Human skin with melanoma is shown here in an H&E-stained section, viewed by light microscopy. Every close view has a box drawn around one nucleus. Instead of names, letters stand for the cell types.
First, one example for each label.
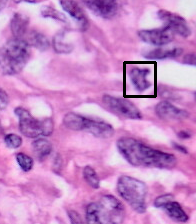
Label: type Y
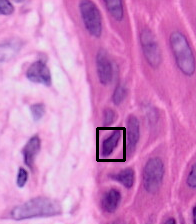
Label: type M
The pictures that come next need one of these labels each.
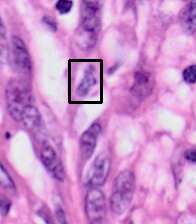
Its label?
type Y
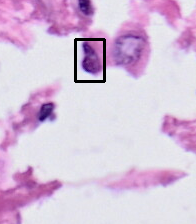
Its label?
type Y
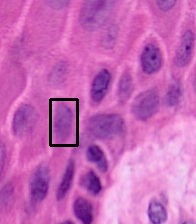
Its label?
type M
